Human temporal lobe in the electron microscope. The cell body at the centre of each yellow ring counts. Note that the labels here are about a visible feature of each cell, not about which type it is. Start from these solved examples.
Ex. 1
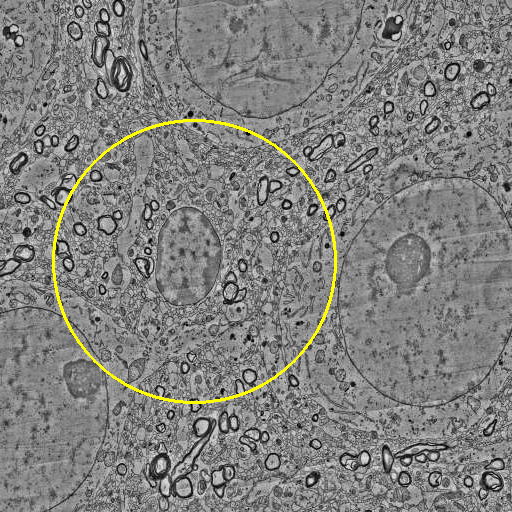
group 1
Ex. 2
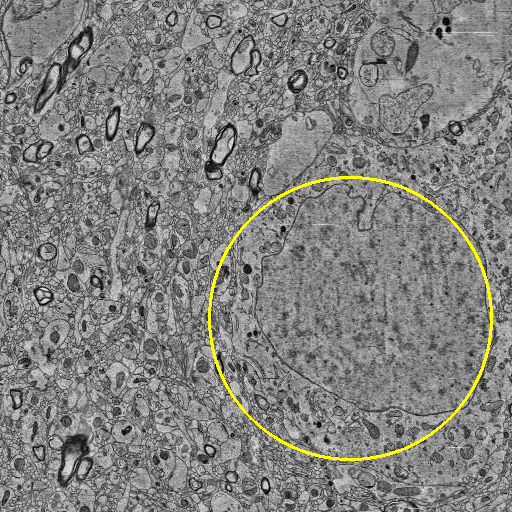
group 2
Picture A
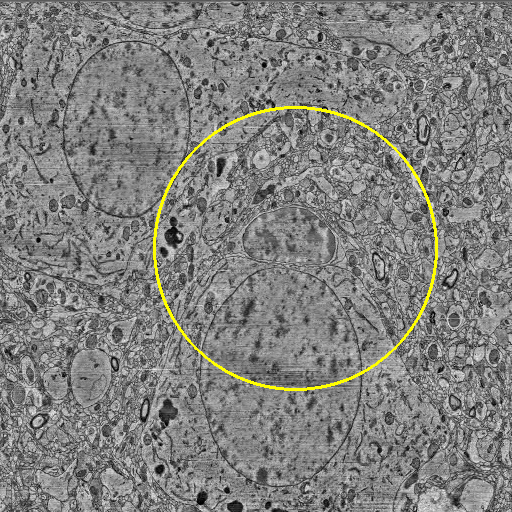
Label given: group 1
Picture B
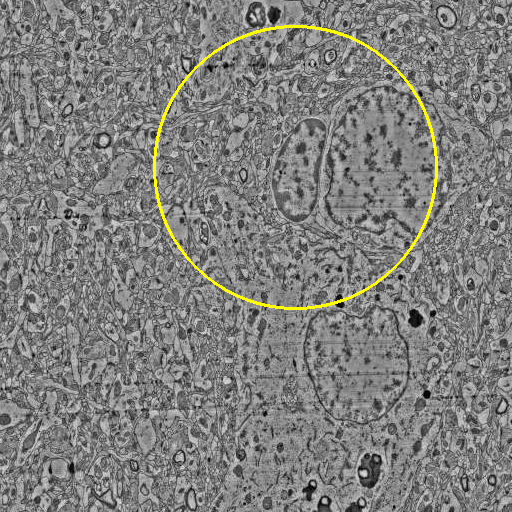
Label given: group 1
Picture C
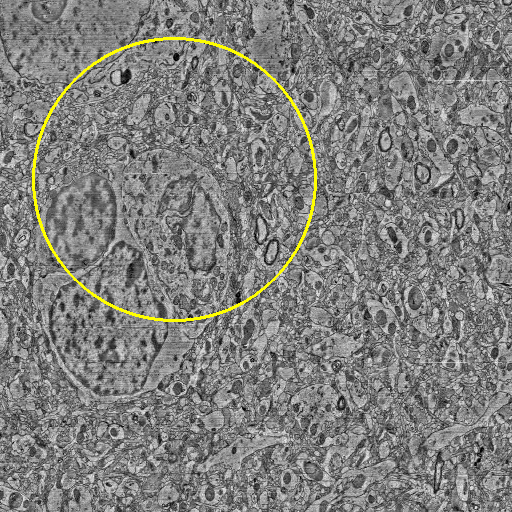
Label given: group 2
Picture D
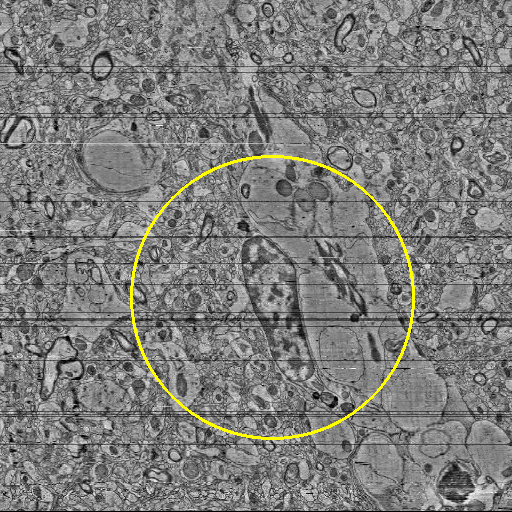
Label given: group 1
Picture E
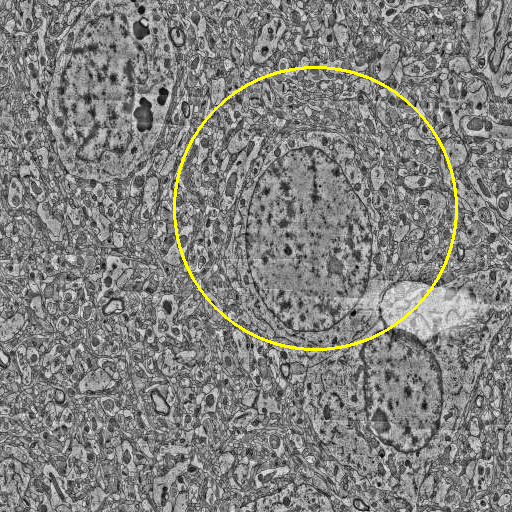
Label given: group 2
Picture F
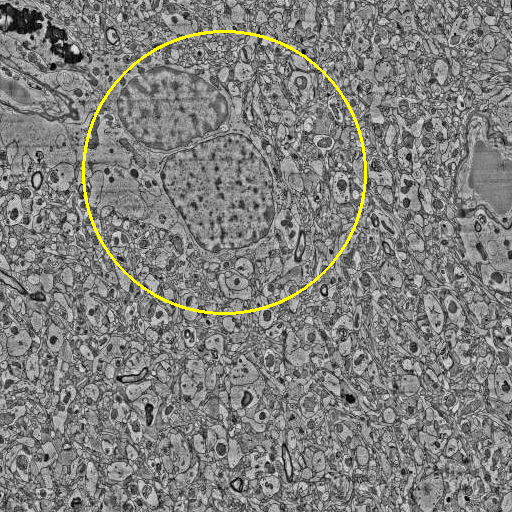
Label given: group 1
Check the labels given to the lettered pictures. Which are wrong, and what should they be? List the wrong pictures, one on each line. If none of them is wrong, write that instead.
Wrong: E (group 2); correct: group 1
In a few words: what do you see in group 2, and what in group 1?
group 2: deeply folded or indented nuclear envelopes; group 1: smooth nuclear envelopes without deep folds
